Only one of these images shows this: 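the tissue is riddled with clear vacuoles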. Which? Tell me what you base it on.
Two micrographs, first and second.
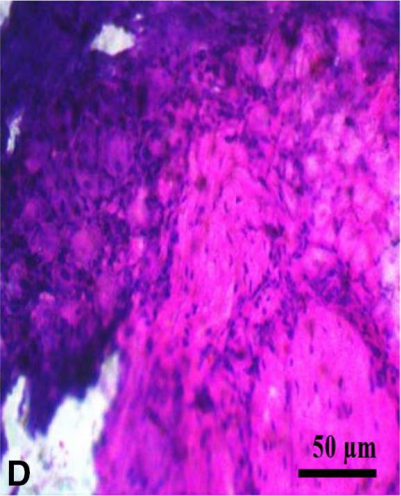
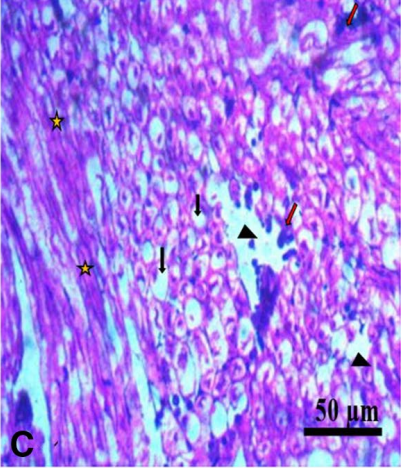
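The second image. First image: pink tissue is dense and compact, without rings of clear vacuoles. Second image: many round profiles with clear empty centres and pale spaces between them.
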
